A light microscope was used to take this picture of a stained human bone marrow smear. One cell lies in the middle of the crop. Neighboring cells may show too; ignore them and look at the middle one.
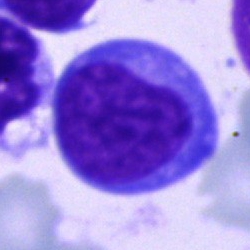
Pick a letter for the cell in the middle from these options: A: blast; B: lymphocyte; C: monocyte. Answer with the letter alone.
A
